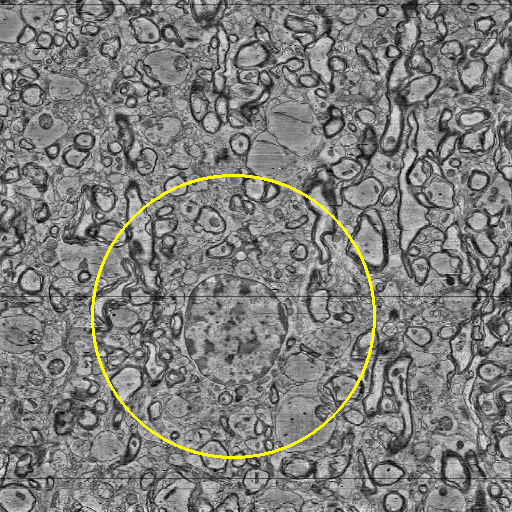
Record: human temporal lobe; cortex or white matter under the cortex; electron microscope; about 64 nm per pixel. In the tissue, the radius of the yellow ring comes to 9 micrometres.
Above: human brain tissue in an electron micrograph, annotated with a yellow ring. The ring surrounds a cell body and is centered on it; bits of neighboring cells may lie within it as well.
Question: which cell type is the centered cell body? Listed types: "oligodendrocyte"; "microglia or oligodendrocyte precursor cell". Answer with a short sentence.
The centered cell body is a microglial cell or oligodendrocyte precursor cell.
